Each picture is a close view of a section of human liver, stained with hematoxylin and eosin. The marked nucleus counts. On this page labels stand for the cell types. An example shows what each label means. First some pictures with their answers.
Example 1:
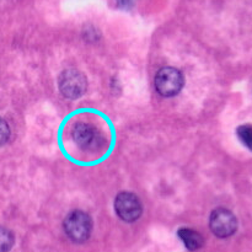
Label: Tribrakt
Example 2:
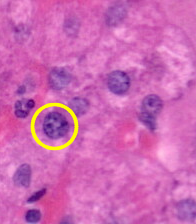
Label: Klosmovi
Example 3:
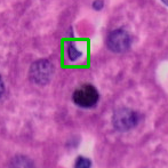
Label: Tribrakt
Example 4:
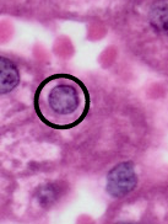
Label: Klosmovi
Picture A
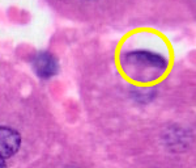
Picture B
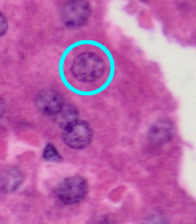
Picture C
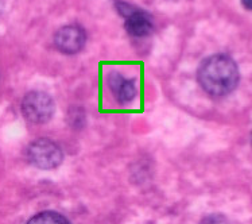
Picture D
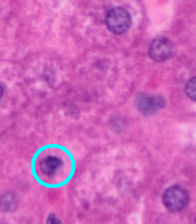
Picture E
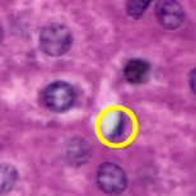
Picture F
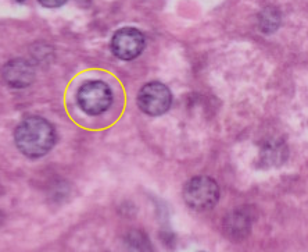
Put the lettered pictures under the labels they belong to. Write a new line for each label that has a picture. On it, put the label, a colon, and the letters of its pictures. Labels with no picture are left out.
Tribrakt: A, C, D, E
Klosmovi: B, F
